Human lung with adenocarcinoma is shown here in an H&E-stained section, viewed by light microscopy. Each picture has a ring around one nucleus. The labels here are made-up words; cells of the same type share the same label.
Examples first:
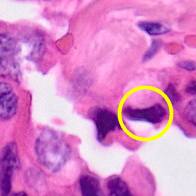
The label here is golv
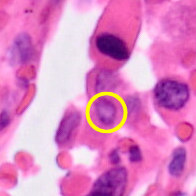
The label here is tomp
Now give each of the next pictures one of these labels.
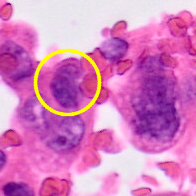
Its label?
golv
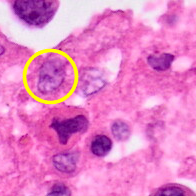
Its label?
tomp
